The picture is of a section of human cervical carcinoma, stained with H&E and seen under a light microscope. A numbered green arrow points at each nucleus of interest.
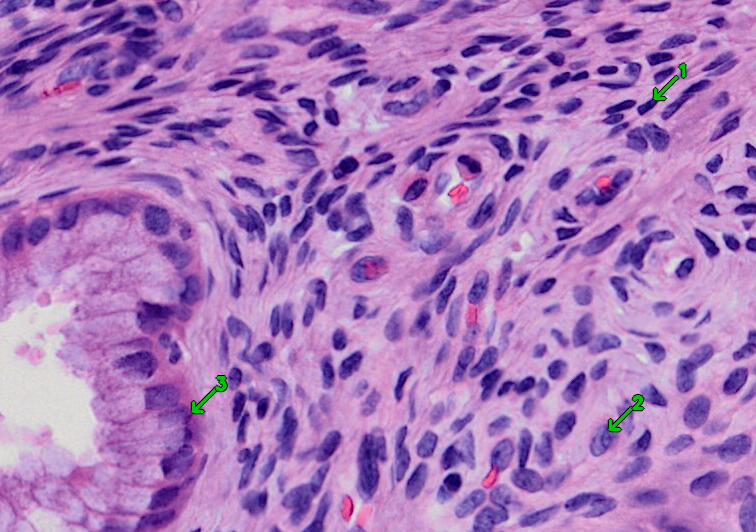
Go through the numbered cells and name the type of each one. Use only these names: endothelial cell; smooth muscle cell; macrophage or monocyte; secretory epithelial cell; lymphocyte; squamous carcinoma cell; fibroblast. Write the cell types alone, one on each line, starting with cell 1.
fibroblast
endothelial cell
secretory epithelial cell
